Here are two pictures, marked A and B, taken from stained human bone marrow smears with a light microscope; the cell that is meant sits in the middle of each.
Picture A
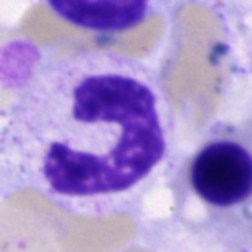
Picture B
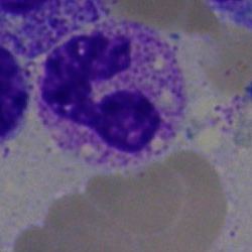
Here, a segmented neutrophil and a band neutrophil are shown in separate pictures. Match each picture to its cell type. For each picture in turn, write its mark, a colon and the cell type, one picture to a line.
A: band neutrophil
B: segmented neutrophil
